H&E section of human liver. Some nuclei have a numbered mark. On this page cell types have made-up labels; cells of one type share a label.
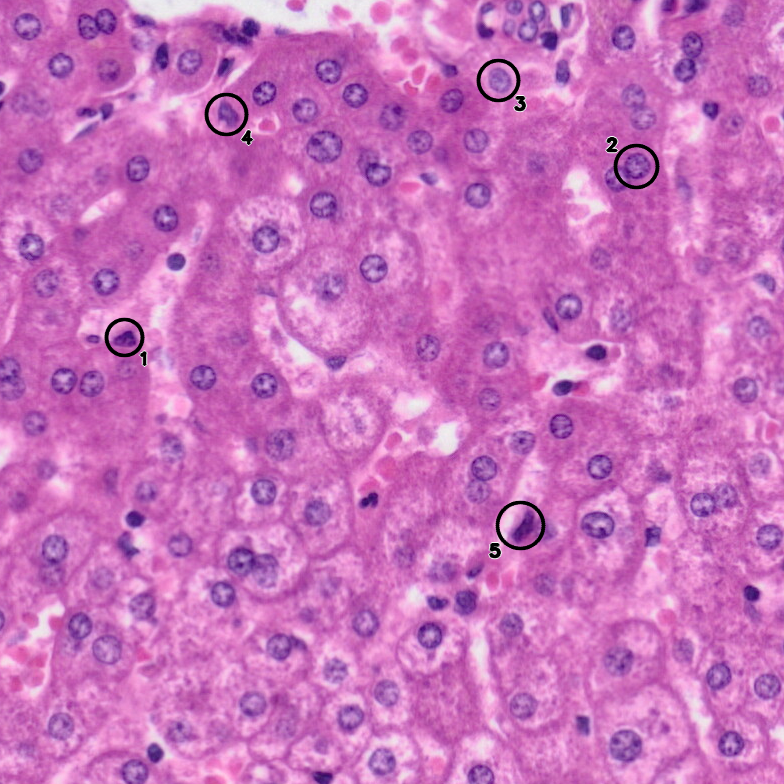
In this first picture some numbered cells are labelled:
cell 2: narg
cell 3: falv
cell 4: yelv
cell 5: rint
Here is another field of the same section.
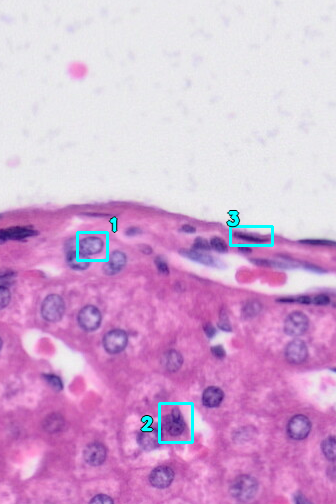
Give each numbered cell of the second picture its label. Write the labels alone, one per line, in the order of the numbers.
falv
rint
yelv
